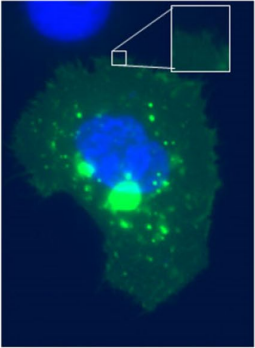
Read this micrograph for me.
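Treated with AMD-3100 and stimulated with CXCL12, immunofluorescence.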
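A blue oval nucleus lies near the centre of the cell, and part of a second blue nucleus appears at the top edge of the field. The cytoplasm is filled with diffuse green fluorescence scattered with many small bright green dots. An enlarged inset shows the cell margin, where the green rim is faint.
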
